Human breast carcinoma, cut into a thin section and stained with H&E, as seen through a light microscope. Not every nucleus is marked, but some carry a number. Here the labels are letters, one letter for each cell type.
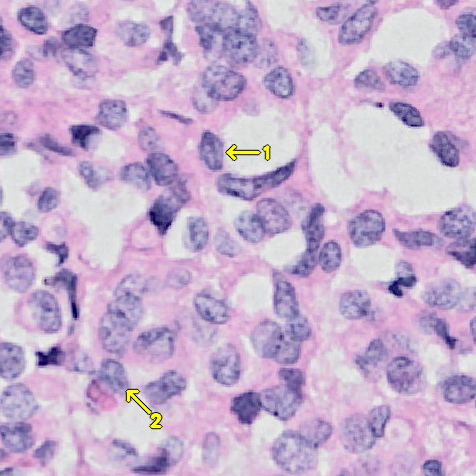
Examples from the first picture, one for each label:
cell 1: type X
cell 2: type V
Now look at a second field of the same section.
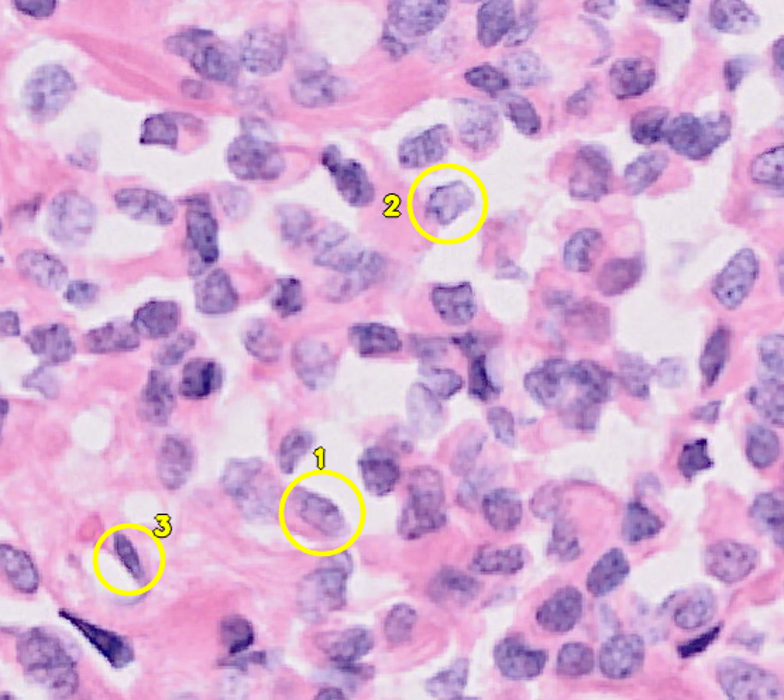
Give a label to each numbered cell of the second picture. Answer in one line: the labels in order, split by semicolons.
type X; type X; type V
